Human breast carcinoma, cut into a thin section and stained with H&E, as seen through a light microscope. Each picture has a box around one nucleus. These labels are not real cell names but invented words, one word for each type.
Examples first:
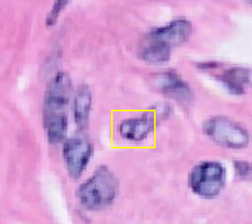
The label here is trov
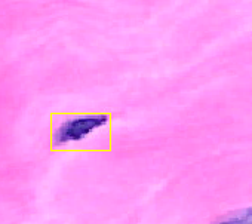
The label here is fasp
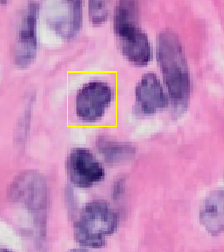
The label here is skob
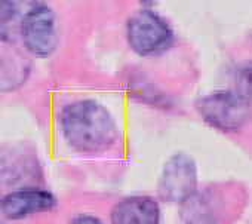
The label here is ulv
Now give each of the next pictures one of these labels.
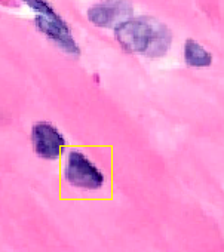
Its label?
skob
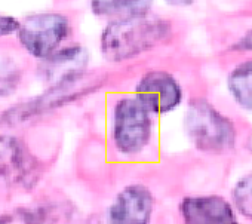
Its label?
ulv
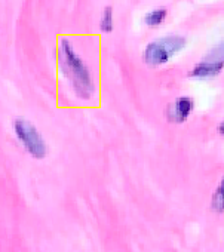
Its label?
fasp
